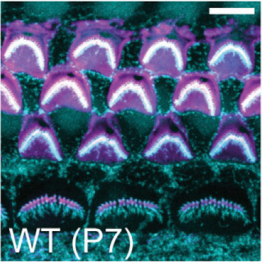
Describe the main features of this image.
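This is a surface view of the sensory epithelium of the cochlea, showing three staggered rows of outer hair cells above a single row of inner hair cells. The inner hair cells at the bottom carry shallow, nearly straight arcs of separate, thicker stereocilia. Between and around the hair cells, fine blue dots speckle the surfaces of the surrounding supporting cells.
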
